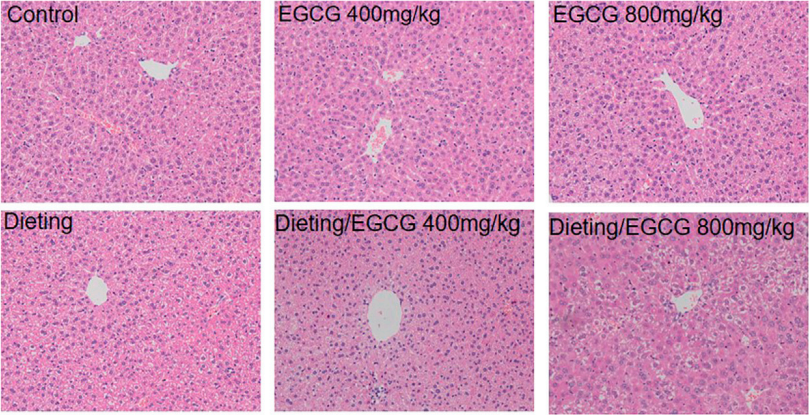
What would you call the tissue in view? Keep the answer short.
liver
